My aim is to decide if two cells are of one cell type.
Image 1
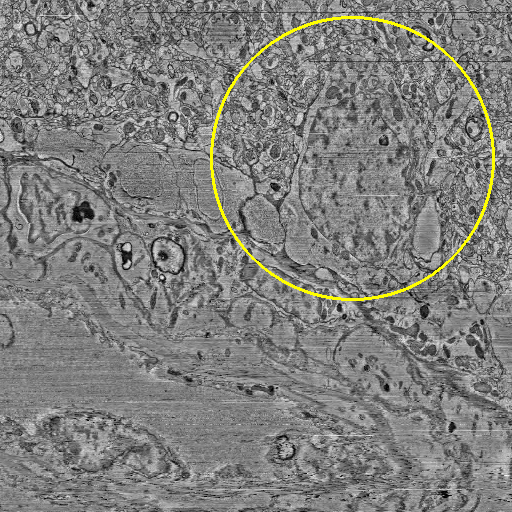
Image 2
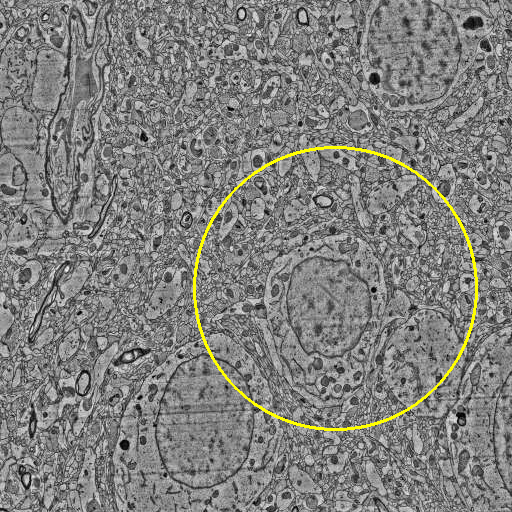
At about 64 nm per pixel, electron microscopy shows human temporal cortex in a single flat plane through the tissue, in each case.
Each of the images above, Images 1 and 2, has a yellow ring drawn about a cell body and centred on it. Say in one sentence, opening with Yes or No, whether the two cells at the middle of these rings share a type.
Yes, in Images 1 and 2 the cells at the middle of the rings share one type.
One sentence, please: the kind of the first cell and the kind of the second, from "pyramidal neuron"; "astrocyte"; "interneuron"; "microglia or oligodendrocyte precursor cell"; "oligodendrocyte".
Each cell at the centre of a ring is an interneuron.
